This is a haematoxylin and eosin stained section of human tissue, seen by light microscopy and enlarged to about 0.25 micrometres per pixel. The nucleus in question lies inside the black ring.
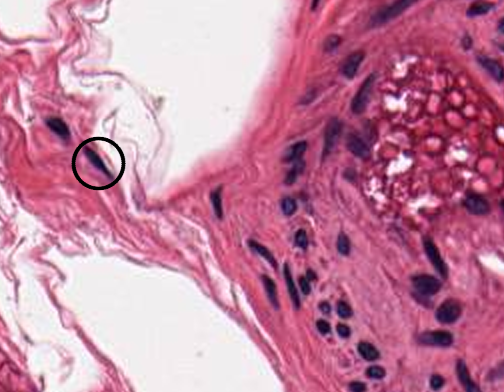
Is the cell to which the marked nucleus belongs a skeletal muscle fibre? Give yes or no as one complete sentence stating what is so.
No, for the marked nucleus, the owning cell is a supporting cell, not a skeletal muscle fibre.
